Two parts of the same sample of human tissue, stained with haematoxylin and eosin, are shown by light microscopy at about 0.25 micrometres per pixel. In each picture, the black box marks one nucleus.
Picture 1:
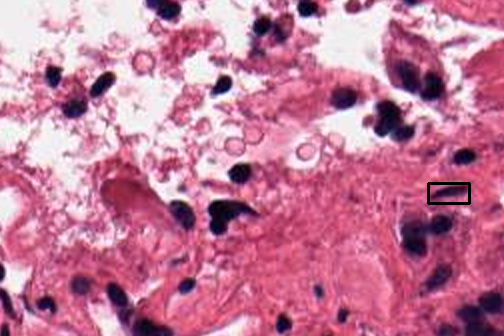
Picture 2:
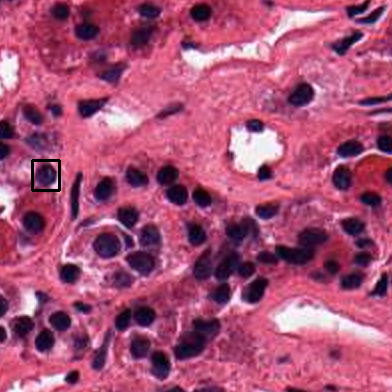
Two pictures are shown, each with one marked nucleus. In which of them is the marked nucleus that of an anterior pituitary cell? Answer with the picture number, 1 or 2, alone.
2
